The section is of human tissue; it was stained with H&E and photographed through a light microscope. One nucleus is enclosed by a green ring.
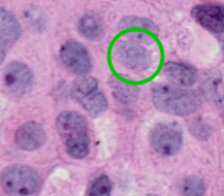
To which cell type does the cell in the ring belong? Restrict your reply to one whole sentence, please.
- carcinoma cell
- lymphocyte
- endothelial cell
Among the cells in this section, the cell in the ring is a carcinoma cell.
